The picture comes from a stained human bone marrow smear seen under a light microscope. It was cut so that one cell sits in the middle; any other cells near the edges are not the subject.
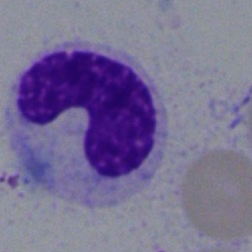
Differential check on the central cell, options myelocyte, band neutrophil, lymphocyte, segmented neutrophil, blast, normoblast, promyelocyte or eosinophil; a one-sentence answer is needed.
The cell shown in the center of this light-microscope crop is a band neutrophil.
